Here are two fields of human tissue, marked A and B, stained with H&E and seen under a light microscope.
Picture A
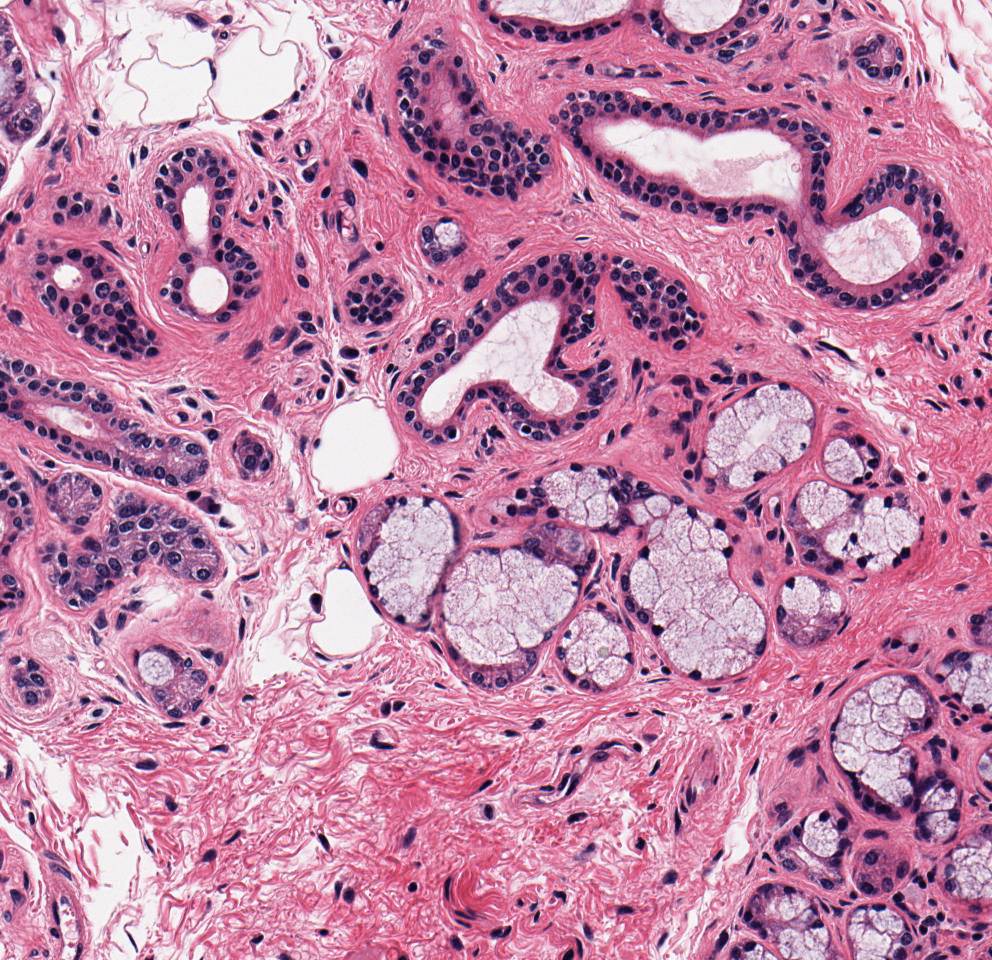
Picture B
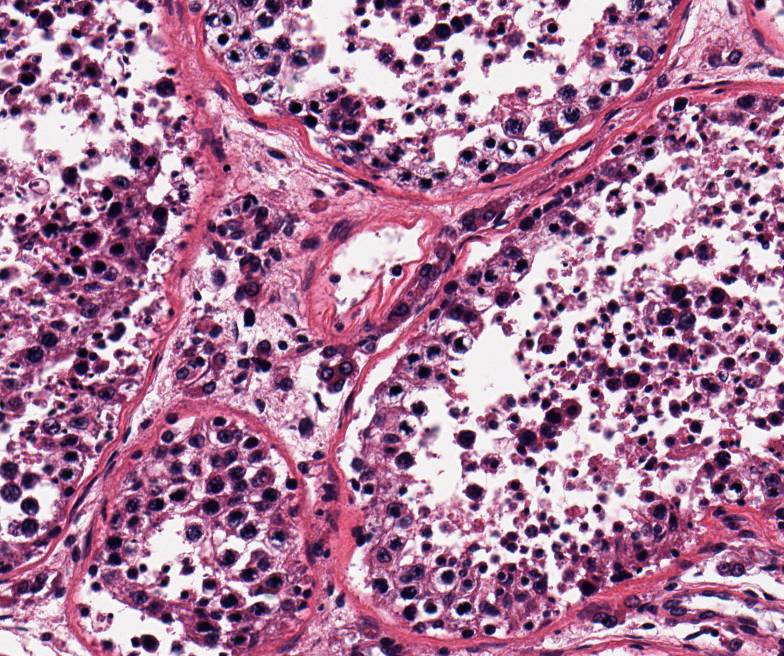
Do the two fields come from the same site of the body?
no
